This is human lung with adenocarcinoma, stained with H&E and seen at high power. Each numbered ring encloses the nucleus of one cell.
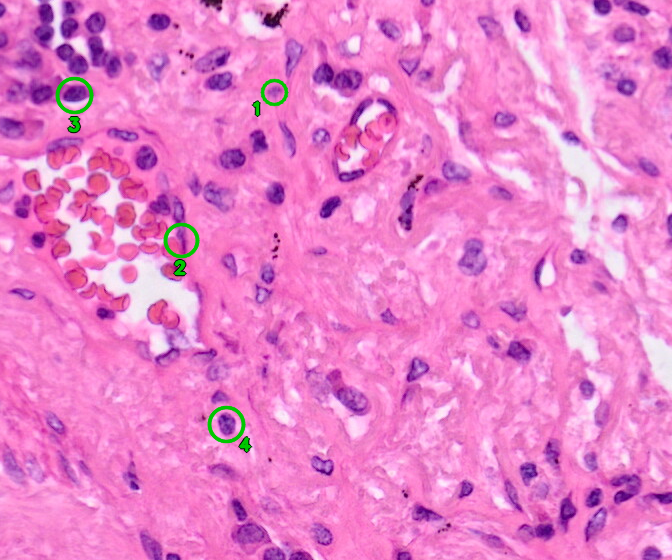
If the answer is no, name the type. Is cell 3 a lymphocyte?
No, it is a plasma cell.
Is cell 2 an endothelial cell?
Yes.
